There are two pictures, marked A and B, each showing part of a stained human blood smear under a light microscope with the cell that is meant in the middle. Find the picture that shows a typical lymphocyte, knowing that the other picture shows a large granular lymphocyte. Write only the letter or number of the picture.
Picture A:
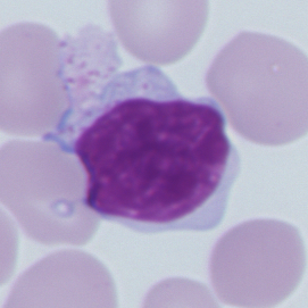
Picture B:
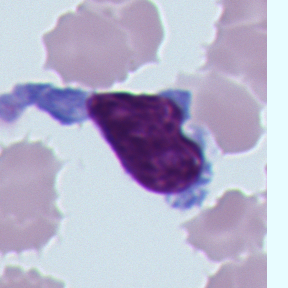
B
